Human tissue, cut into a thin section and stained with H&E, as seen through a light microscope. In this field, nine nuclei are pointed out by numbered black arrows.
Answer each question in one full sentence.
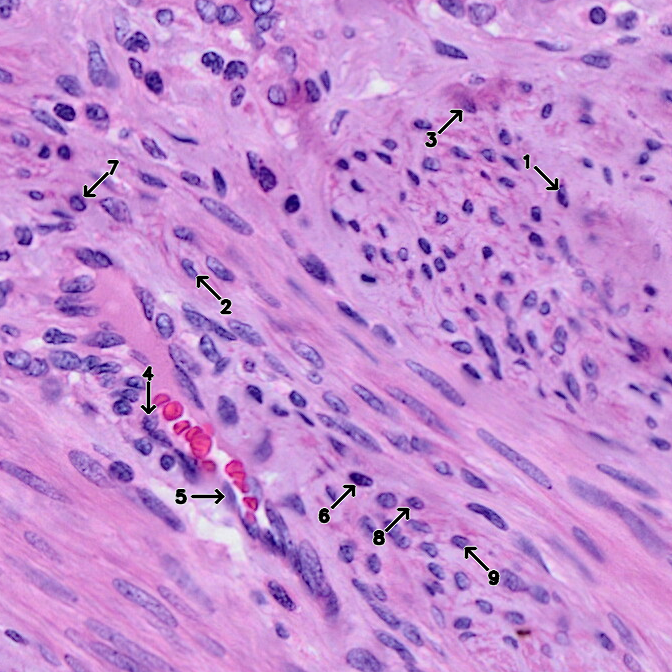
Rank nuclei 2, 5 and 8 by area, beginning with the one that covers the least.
By area, going up from the smallest, they rank 8, 2, 5.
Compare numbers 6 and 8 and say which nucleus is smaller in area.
With nucleus 6 about 1.5 times its size, nucleus 8 is the smaller of the two.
